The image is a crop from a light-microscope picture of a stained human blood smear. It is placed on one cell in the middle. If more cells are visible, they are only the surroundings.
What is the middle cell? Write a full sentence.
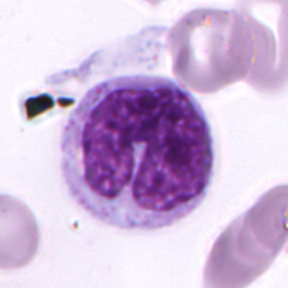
Within this crop, a band neutrophil occupies the central position.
